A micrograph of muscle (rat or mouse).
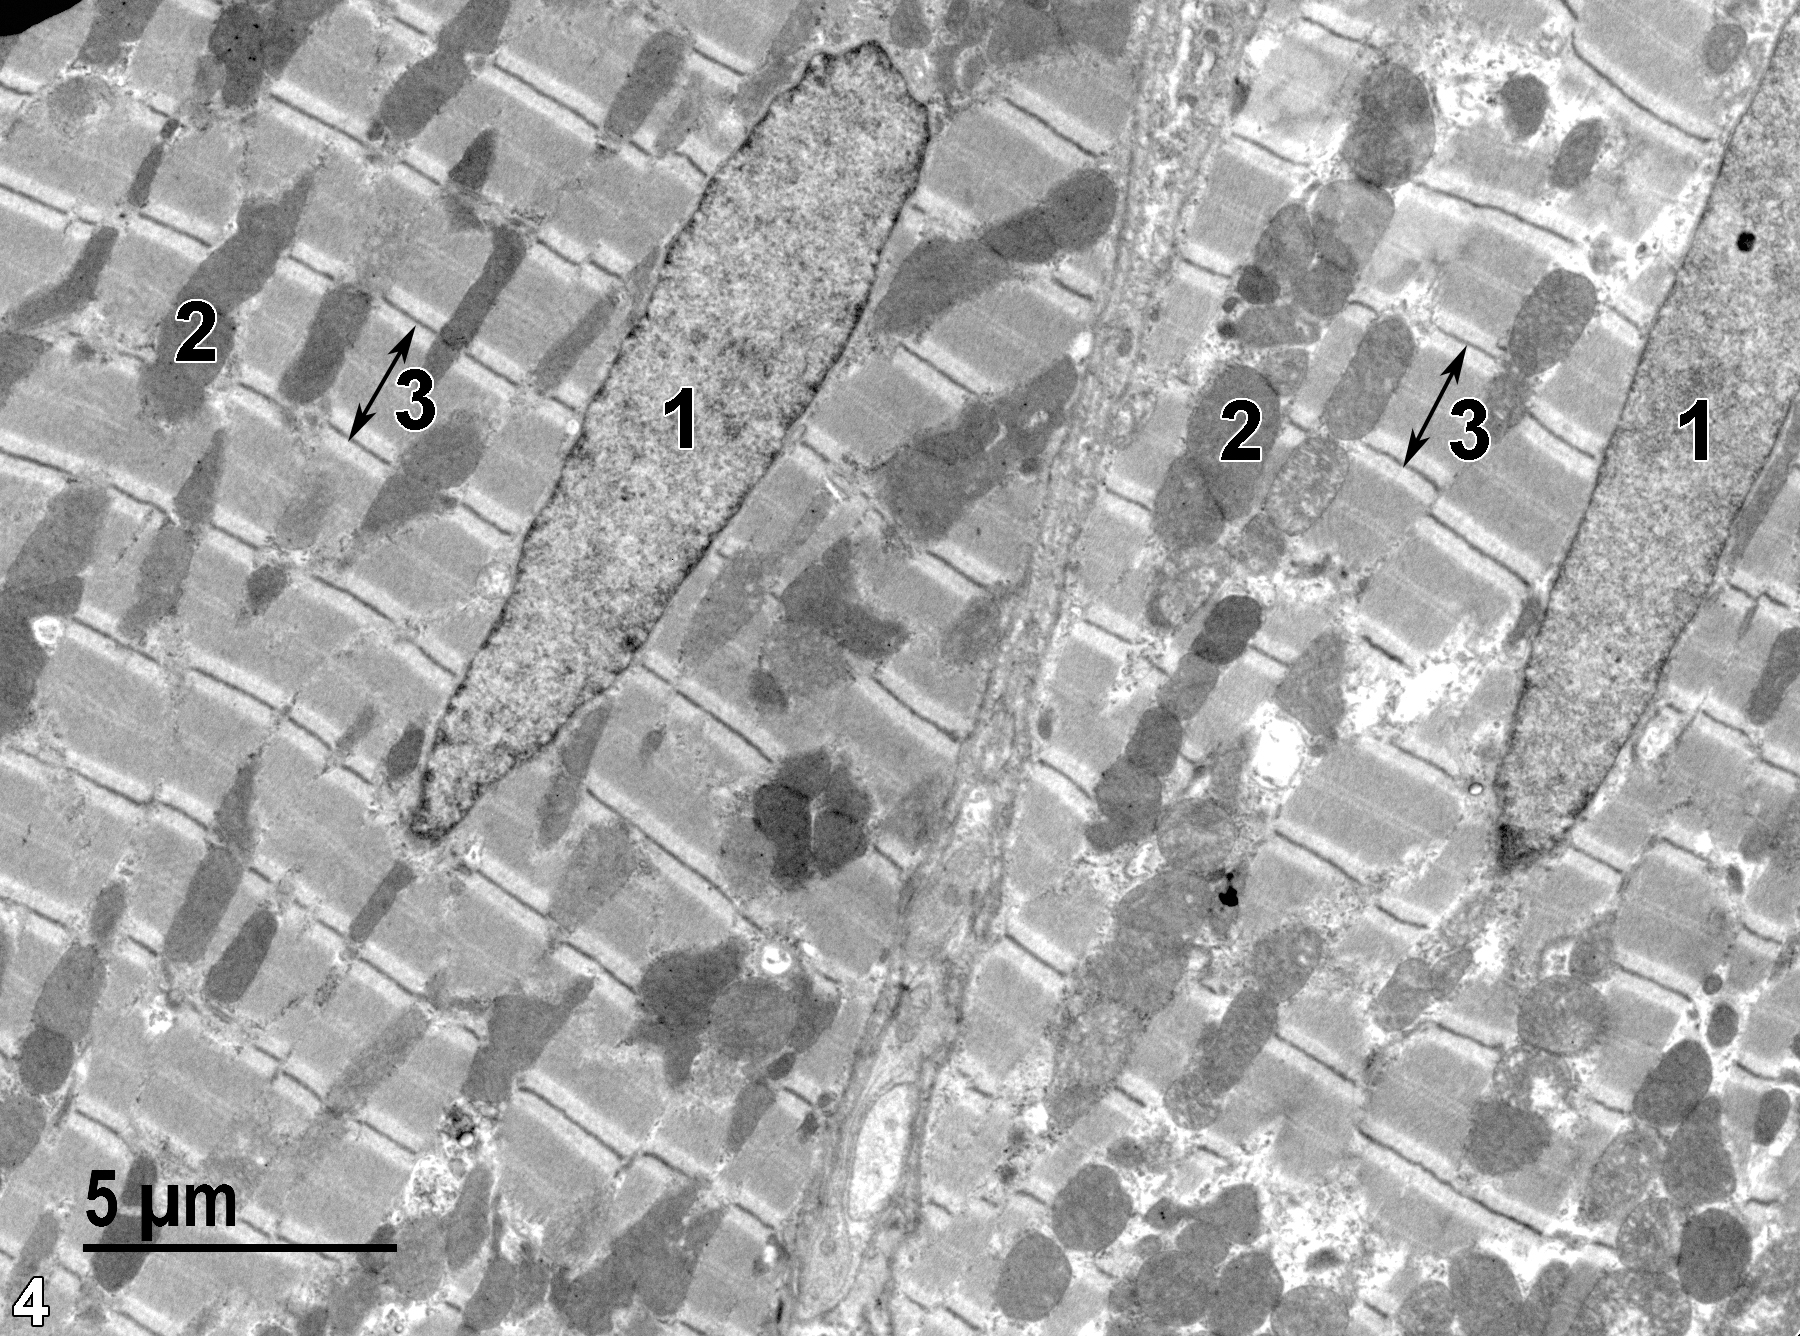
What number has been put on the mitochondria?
It's 2.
